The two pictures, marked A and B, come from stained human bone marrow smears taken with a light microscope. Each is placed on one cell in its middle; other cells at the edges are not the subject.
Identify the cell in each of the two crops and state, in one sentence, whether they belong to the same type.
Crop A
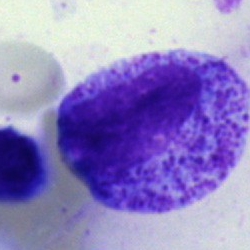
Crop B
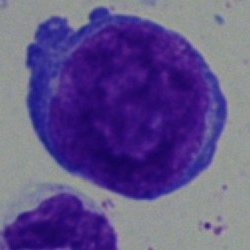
No, crop A is home to a promyelocyte, and crop B to a blast.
